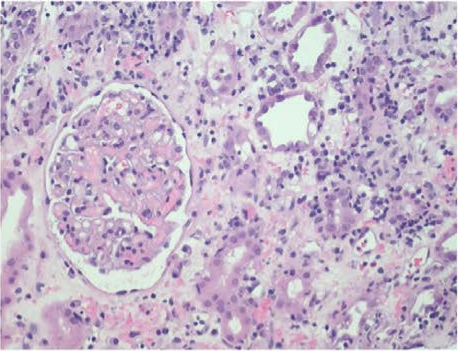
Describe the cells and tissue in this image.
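This is kidney cortex with a tubulitis lesion. A glomerulus with its capillary tuft inside a thin Bowman's capsule lies on the left, surrounded by tubules lined by pink epithelium. The interstitium between the tubules is heavily infiltrated by small dark round inflammatory cells, and some of these cells sit within the tubular epithelial lining.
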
